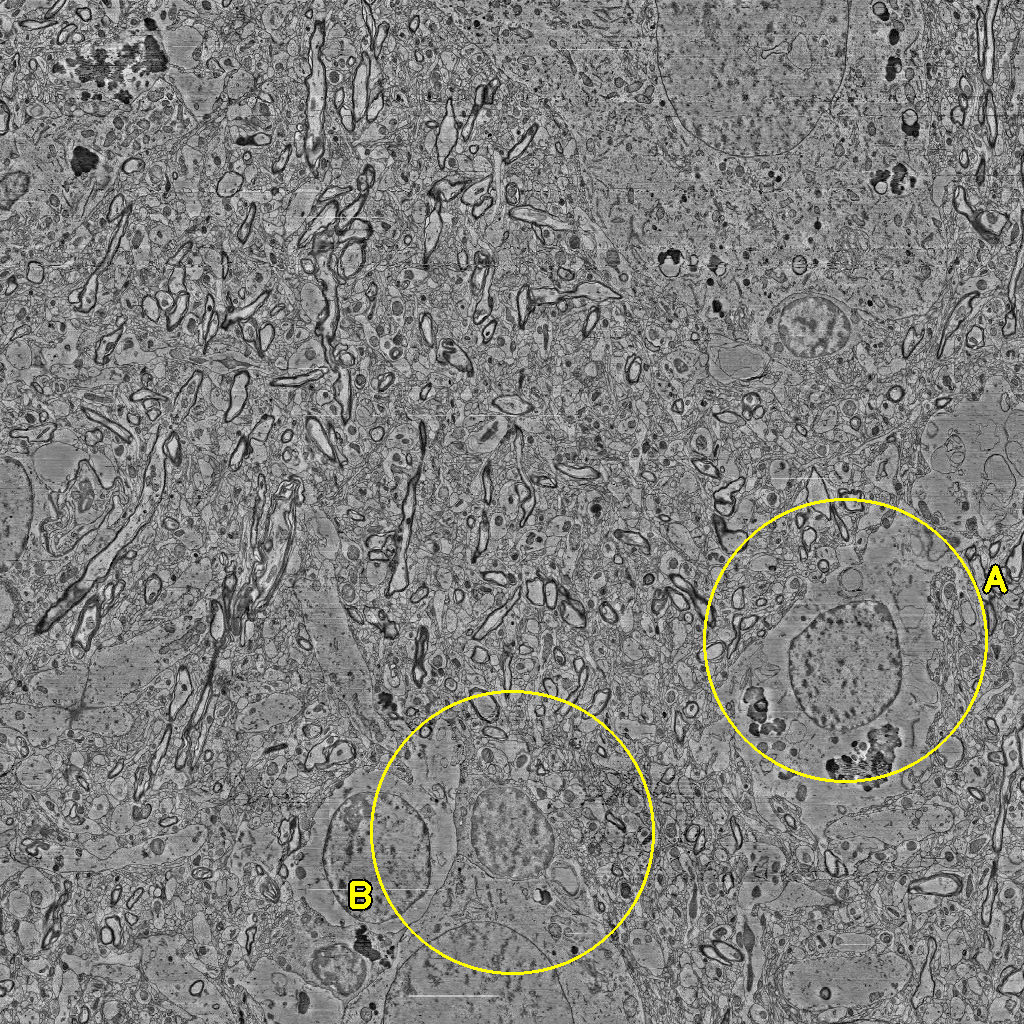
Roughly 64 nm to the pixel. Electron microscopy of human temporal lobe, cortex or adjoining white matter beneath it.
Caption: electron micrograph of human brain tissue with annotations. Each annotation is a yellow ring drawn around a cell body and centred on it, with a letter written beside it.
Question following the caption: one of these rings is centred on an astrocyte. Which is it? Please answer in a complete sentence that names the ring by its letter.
The ring with the letter A is centred on it.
